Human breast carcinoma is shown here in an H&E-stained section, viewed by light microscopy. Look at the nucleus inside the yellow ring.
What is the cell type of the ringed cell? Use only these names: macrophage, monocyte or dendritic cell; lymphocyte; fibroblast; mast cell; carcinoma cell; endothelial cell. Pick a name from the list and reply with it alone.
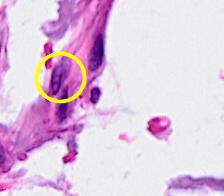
endothelial cell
